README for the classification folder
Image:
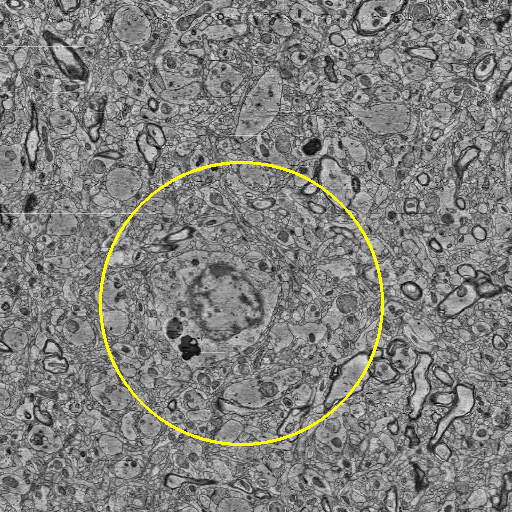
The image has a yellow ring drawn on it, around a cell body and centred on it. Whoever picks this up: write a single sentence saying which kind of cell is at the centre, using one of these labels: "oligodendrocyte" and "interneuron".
This cell body is that of an interneuron.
